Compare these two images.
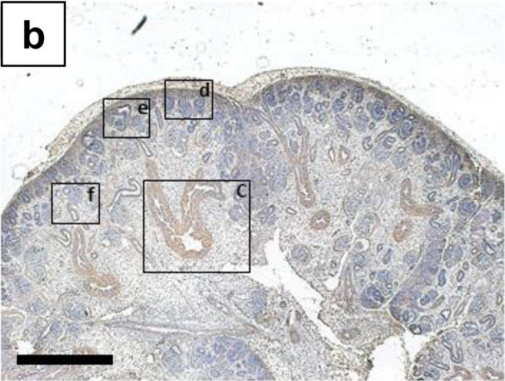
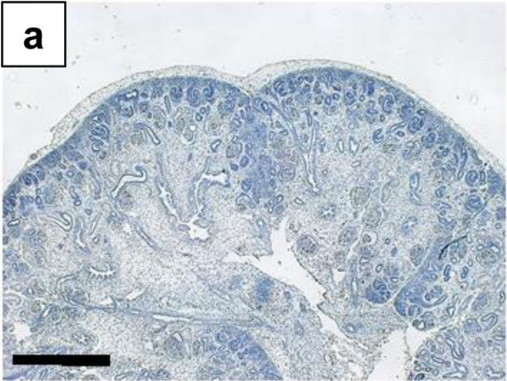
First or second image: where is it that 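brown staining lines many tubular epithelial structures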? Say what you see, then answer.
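The first image. First image: branching tubules in the middle of the section show a brown tint. Second image: the same kinds of tubules are only blue, with no brown.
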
